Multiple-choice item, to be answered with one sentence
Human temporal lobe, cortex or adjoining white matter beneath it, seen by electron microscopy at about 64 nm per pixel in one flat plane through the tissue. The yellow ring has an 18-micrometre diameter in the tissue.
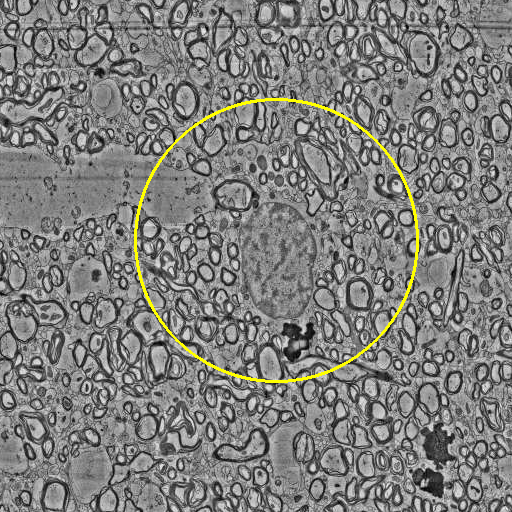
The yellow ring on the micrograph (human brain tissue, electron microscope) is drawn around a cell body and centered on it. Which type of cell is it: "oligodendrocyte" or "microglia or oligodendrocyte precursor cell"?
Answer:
The ring is centered on an oligodendrocyte.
